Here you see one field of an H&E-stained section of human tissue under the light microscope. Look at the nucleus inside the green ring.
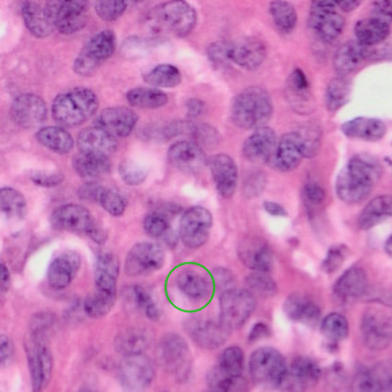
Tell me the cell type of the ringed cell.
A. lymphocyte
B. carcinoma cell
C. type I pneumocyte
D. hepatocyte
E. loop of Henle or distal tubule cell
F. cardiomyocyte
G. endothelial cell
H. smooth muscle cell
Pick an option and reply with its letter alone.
B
